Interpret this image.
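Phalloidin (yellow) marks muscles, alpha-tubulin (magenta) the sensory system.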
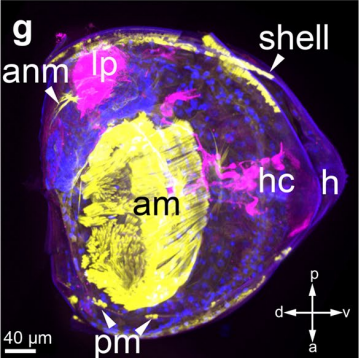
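A rounded larva is seen with a large oval mass of dense, parallel yellow fibres in its centre, small yellow fibre fans at the shell edges, and blue nuclei scattered through the body. Magenta cells with tufted ends sit near the pointed ventral tip, linked by thin magenta threads.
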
